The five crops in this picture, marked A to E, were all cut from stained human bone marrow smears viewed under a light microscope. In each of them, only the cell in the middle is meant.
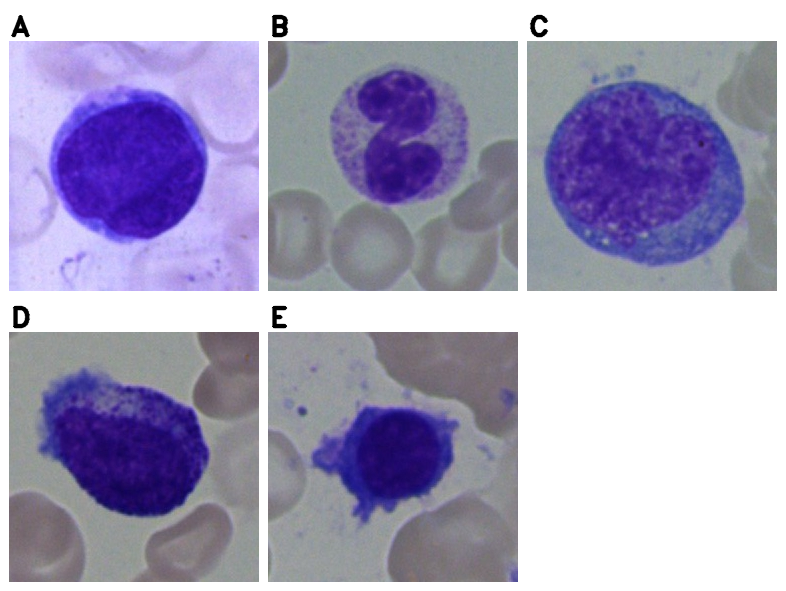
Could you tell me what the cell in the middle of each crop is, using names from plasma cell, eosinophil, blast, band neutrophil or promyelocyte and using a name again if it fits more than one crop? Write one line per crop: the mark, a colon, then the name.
A: blast
B: band neutrophil
C: blast
D: promyelocyte
E: plasma cell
